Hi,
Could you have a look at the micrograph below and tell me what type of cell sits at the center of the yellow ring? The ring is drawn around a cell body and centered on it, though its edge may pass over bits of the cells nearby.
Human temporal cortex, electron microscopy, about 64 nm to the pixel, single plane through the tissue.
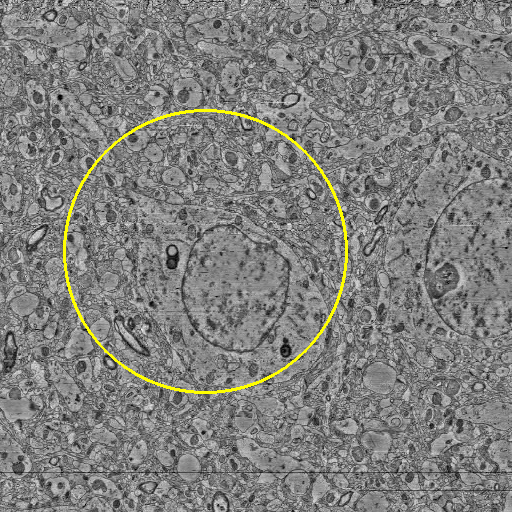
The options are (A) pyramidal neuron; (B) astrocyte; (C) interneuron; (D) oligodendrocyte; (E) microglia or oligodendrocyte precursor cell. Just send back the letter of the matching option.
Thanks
A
